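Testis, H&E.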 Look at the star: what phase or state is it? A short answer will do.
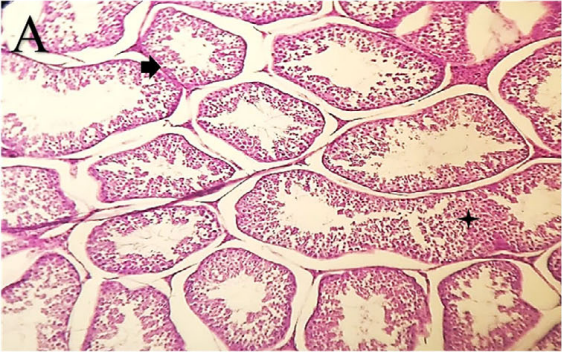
normal spermatogenesis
